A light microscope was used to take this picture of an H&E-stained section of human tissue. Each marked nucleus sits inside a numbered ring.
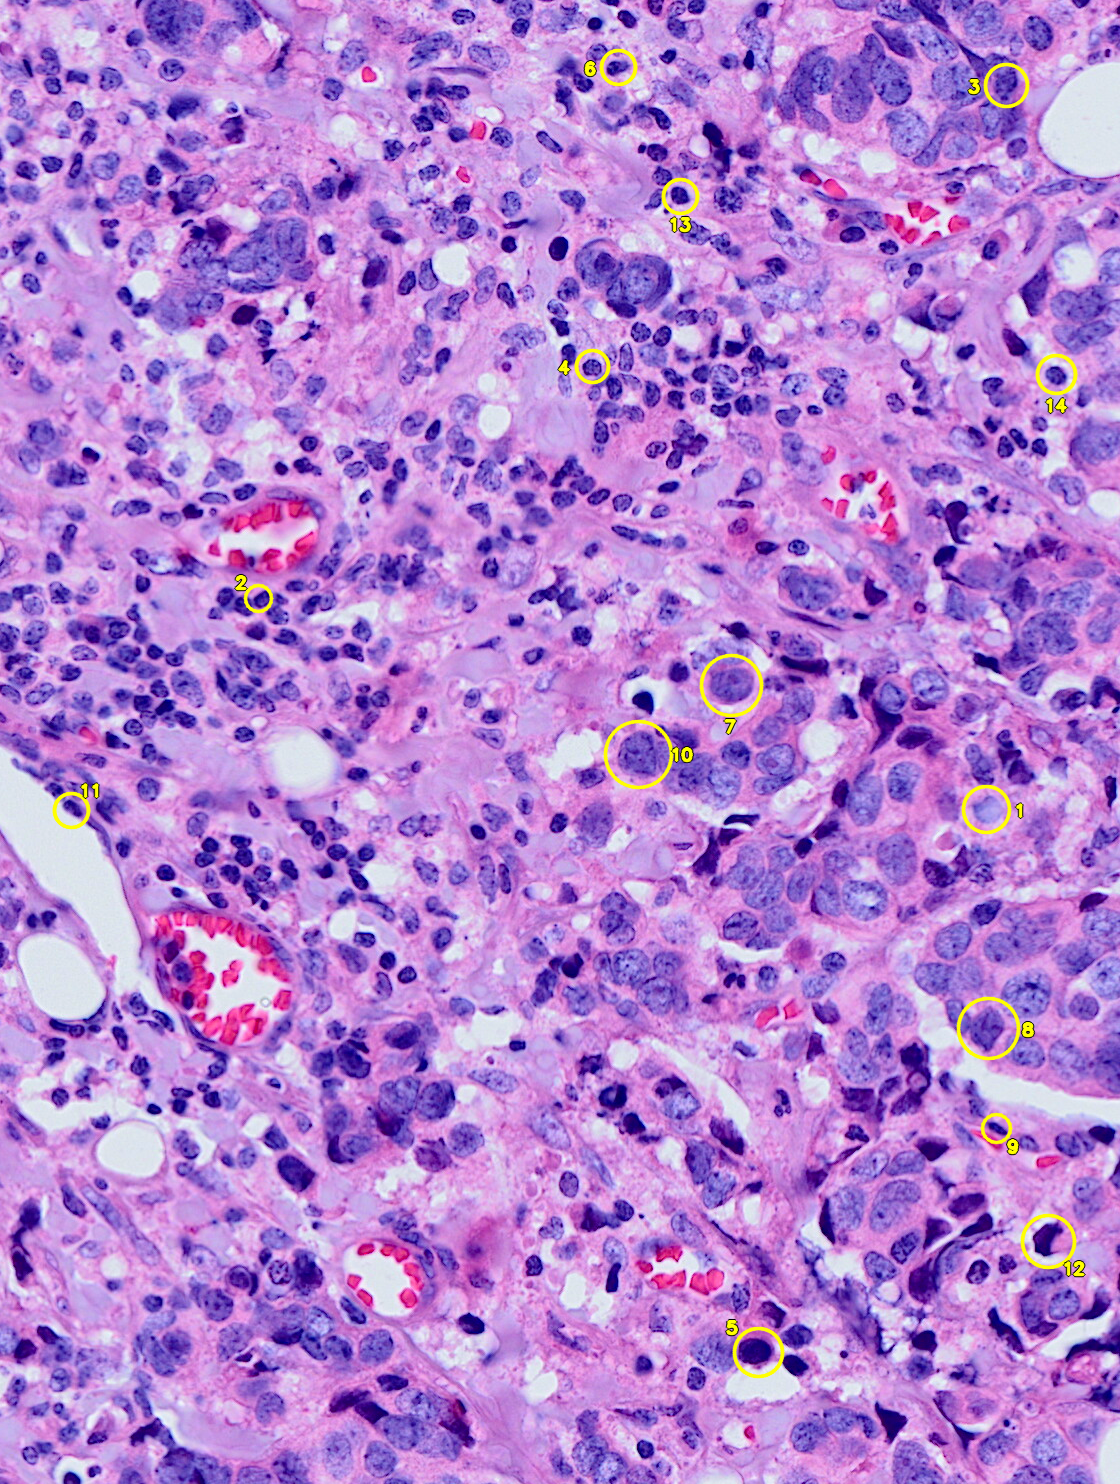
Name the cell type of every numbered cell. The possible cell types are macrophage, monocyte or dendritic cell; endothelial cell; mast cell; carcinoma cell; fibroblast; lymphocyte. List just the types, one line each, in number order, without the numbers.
carcinoma cell
lymphocyte
carcinoma cell
lymphocyte
carcinoma cell
lymphocyte
carcinoma cell
carcinoma cell
endothelial cell
carcinoma cell
lymphocyte
carcinoma cell
lymphocyte
lymphocyte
